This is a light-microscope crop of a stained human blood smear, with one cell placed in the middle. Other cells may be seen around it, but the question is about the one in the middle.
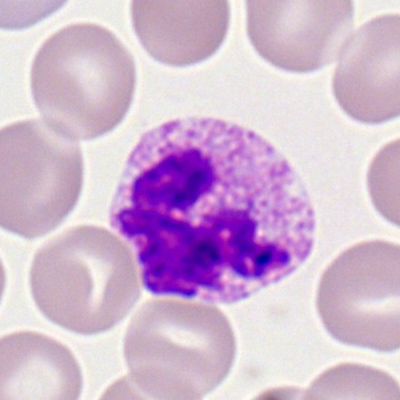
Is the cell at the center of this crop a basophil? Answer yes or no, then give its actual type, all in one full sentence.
Yes, shown in the middle of the crop is a basophil.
